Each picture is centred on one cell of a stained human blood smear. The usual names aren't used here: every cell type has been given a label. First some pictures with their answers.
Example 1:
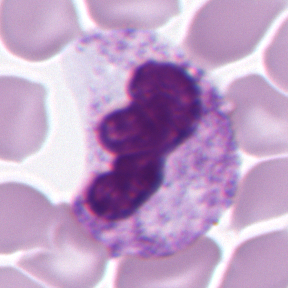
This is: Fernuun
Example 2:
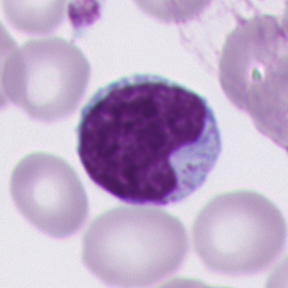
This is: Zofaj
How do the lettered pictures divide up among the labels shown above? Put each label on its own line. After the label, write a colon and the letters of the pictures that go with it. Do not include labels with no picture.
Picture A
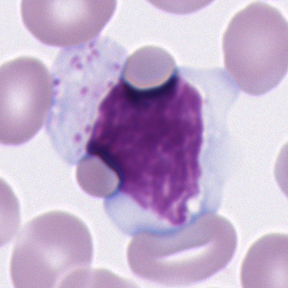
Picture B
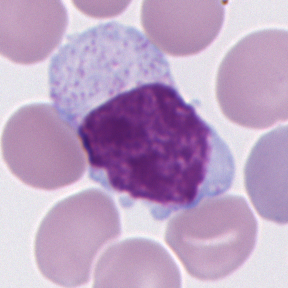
Zofaj: A, B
